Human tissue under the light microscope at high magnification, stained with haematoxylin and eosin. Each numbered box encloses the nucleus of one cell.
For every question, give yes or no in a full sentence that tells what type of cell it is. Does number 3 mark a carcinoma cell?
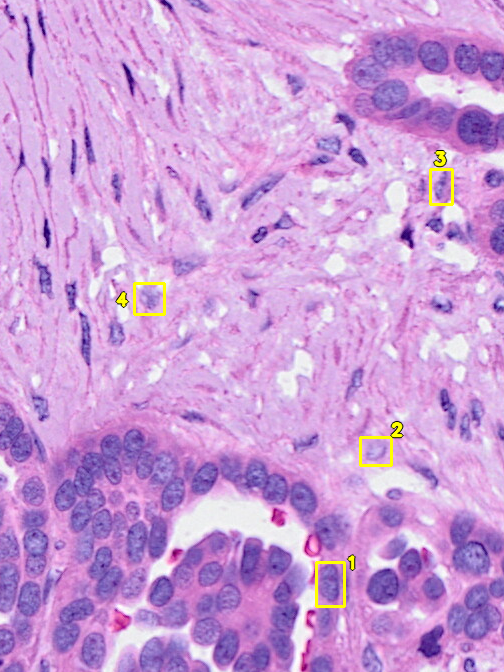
No, a fibroblast is what cell 3 is, not a carcinoma cell.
